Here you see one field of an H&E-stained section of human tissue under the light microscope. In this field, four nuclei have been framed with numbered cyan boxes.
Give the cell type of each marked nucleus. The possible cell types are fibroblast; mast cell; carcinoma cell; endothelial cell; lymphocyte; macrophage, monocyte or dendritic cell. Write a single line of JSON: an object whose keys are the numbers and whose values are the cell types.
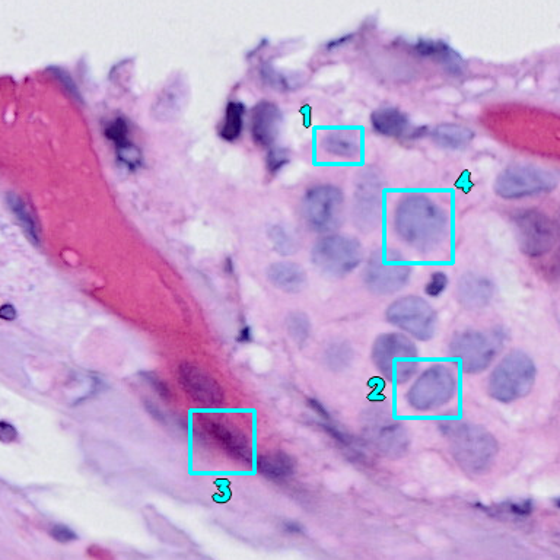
{"1": "carcinoma cell", "2": "carcinoma cell", "3": "endothelial cell", "4": "carcinoma cell"}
